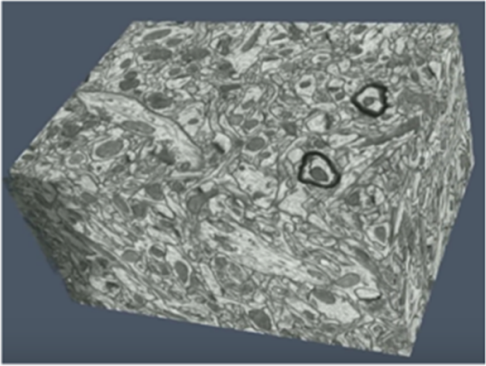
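Three faces of a rendered block show pale tissue packed with irregular, closely apposed profiles, with darker grey round and elongated bodies scattered among them. Two small round profiles on the top face are each wrapped in a thick, dark, ring-like sheath. This is neural tissue, cut into a dense mesh of cell processes.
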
